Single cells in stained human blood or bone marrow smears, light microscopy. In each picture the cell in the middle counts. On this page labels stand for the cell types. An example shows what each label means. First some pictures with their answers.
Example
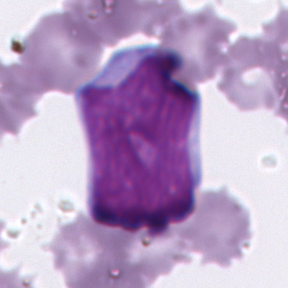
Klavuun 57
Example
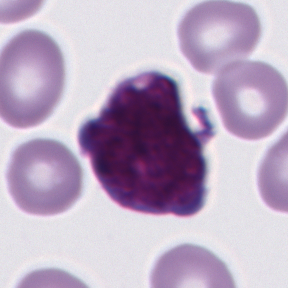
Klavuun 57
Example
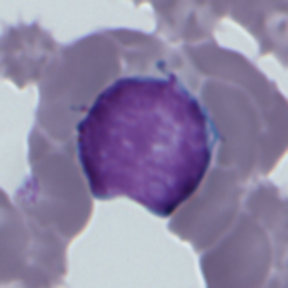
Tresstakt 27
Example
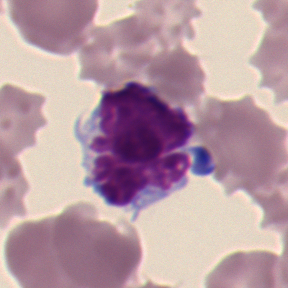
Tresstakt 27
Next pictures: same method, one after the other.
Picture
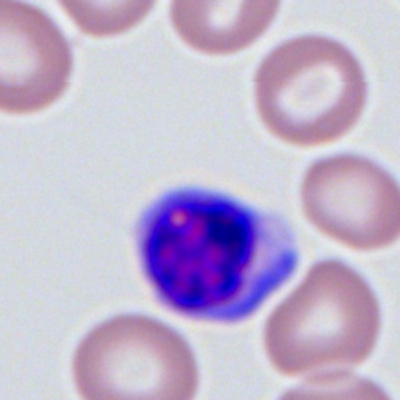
Tresstakt 27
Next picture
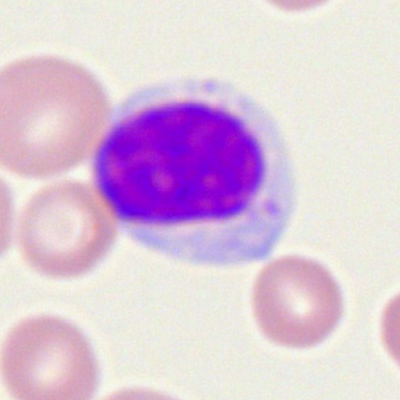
Tresstakt 27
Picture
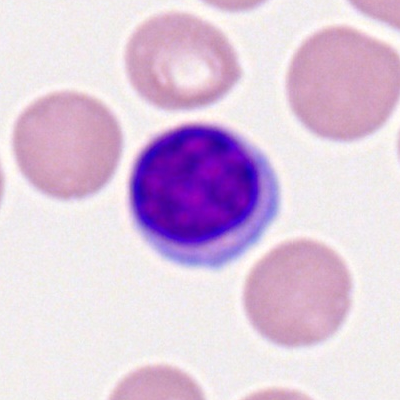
Tresstakt 27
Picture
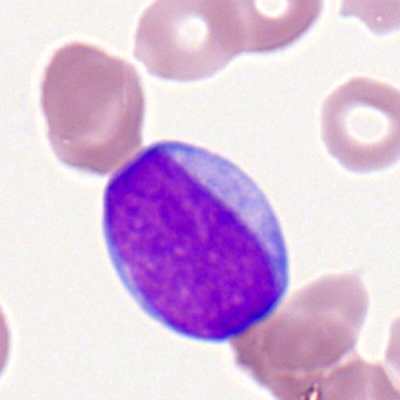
Klavuun 57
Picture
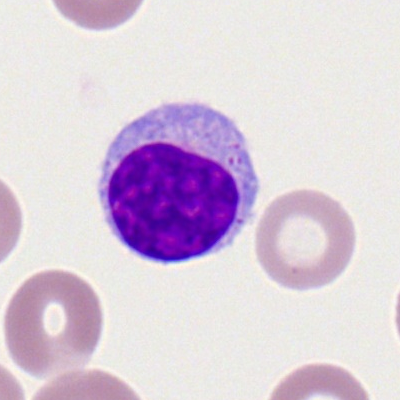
Tresstakt 27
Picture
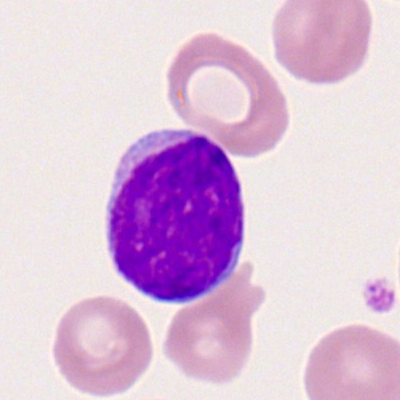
Tresstakt 27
